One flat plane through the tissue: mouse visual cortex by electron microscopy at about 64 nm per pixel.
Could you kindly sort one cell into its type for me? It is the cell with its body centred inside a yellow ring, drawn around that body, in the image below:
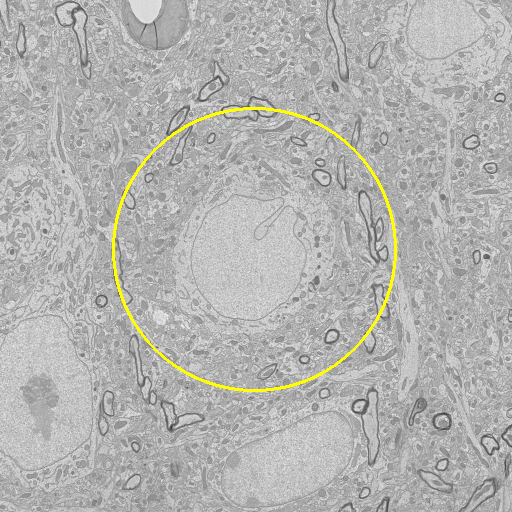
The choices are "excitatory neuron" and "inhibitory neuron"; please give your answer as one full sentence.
The cell whose body lies centred in the yellow ring here is an excitatory neuron.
